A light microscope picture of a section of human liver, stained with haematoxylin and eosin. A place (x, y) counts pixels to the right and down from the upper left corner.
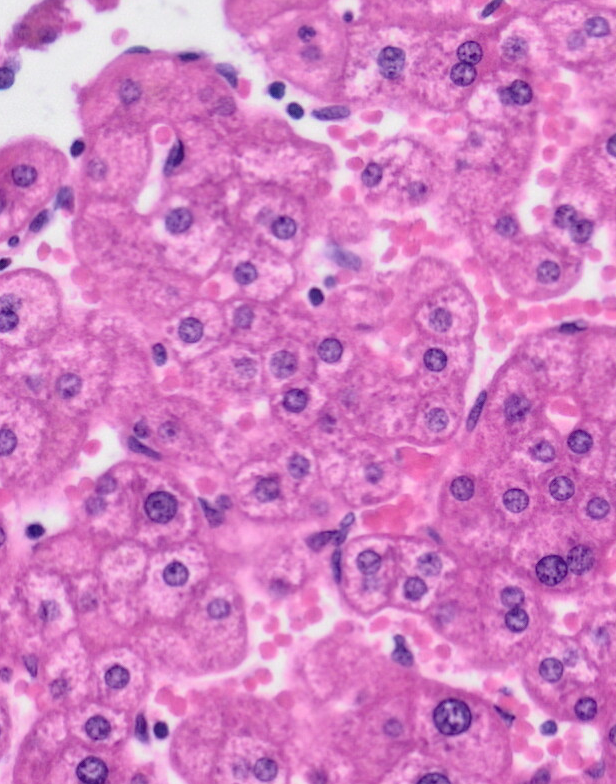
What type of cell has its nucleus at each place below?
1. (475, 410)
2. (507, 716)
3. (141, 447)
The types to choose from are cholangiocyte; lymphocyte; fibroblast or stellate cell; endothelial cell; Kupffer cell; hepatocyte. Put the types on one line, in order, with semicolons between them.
Kupffer cell; endothelial cell; Kupffer cell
